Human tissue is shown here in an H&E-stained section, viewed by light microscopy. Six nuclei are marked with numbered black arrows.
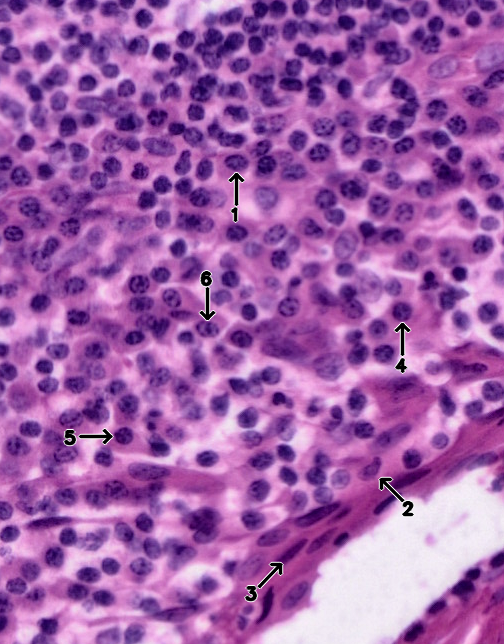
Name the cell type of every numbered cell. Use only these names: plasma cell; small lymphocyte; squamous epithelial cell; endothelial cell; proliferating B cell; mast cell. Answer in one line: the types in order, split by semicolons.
plasma cell; squamous epithelial cell; squamous epithelial cell; plasma cell; plasma cell; plasma cell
